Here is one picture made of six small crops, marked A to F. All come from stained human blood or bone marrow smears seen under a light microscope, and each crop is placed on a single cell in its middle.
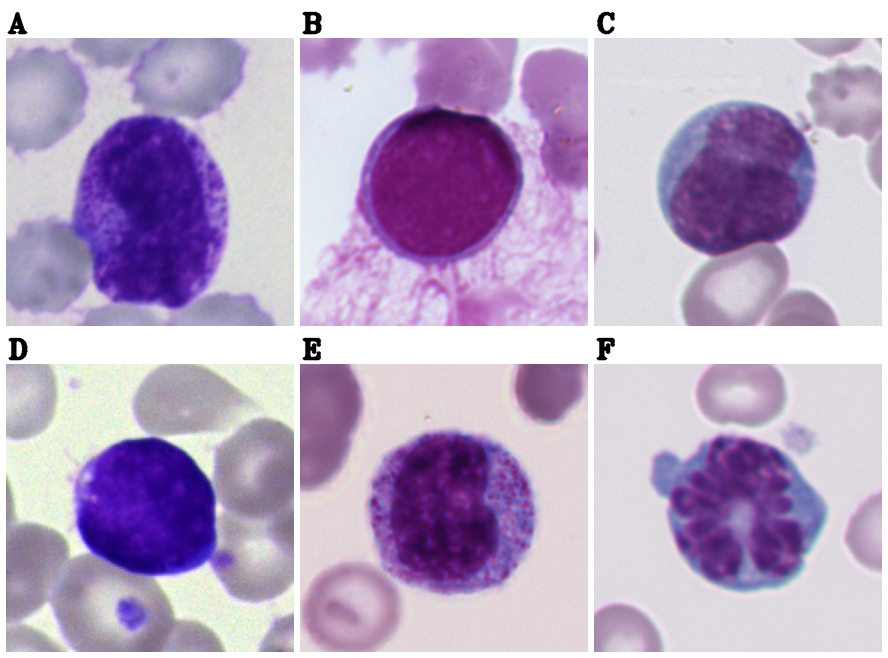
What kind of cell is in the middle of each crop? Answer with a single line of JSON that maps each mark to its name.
{"A": "myelocyte", "B": "blast", "C": "blast", "D": "blast", "E": "myelocyte", "F": "blast"}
